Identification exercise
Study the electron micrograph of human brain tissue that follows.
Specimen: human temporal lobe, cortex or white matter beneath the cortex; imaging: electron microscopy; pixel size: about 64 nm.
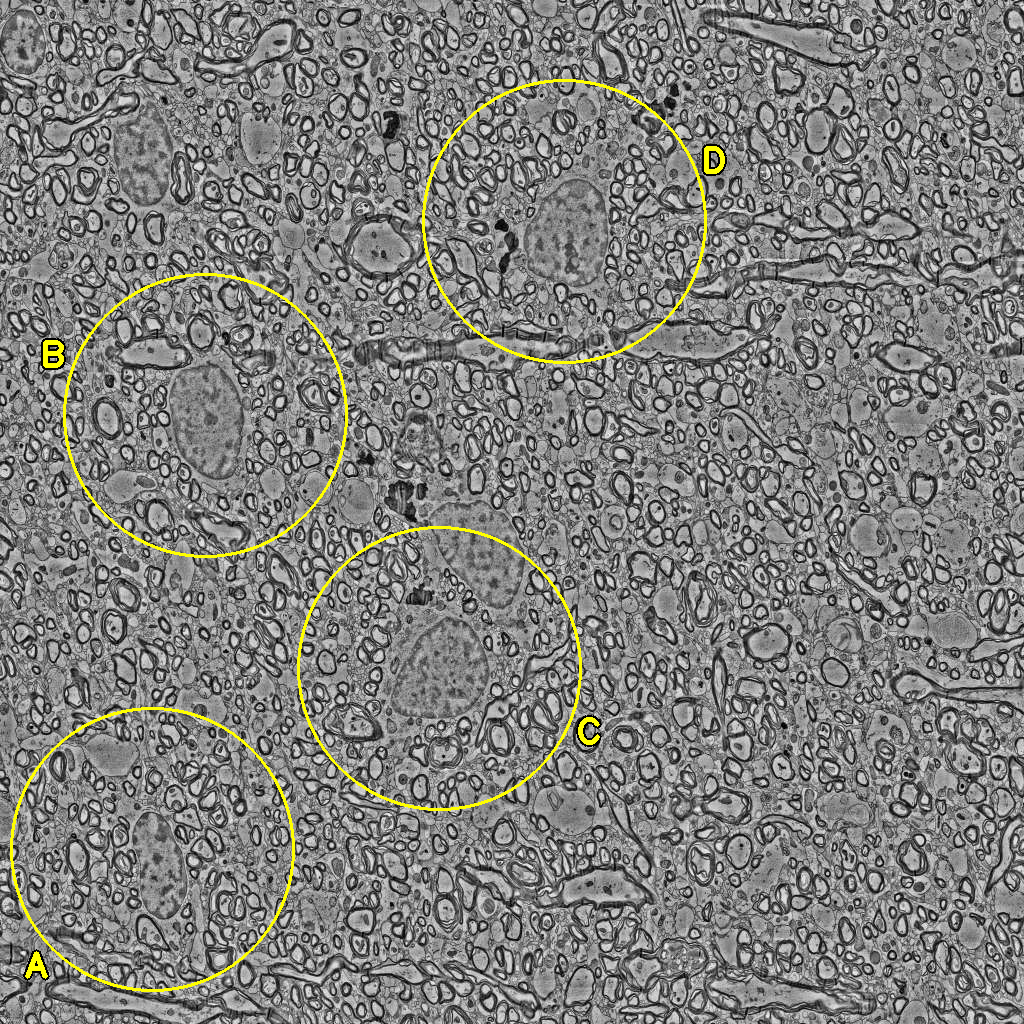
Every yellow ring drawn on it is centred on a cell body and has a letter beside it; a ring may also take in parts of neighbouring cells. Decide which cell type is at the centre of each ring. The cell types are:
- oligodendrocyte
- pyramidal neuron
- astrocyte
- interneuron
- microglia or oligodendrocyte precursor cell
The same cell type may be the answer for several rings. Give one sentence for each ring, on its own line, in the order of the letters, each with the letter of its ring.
Ring A encircles a microglial cell or oligodendrocyte precursor cell.
Ring B encircles an oligodendrocyte.
Ring C encircles an oligodendrocyte.
Ring D encircles an oligodendrocyte.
